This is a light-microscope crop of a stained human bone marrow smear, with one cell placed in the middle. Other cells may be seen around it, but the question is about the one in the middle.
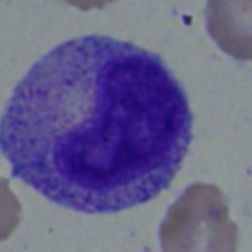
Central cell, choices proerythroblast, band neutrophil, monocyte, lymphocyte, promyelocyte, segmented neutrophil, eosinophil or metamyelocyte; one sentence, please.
The cell centred in this crop is categorized as a metamyelocyte.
